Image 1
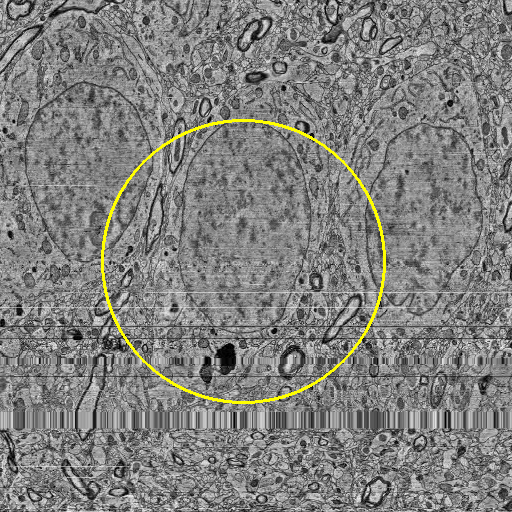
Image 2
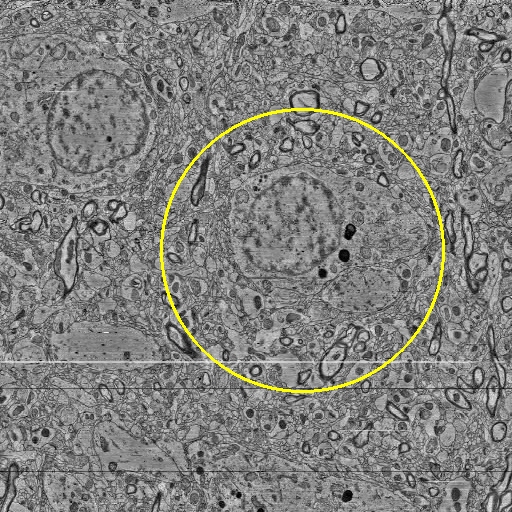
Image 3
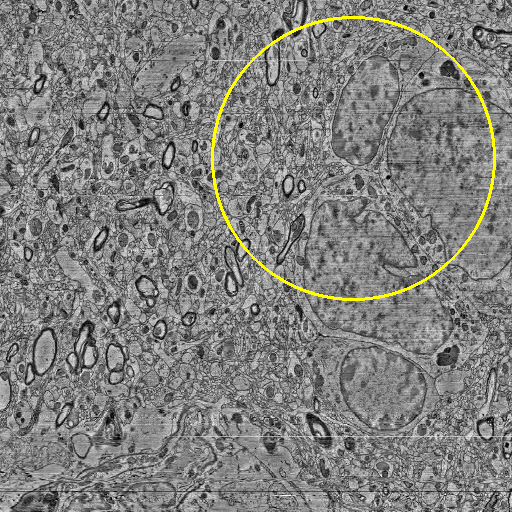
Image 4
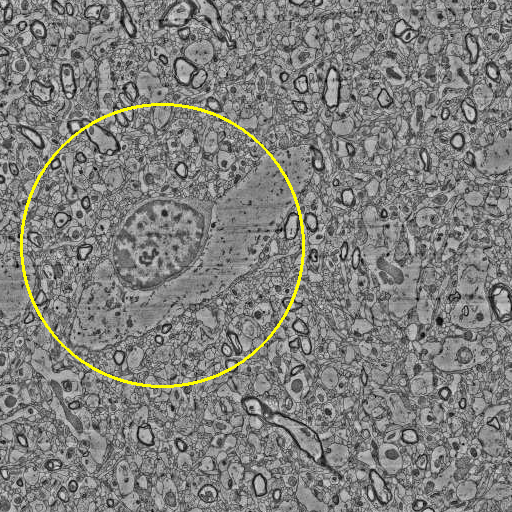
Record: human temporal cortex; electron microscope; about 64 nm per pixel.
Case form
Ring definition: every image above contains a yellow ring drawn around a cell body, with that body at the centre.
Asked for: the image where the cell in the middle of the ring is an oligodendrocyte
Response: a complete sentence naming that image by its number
Image 4 is the one.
